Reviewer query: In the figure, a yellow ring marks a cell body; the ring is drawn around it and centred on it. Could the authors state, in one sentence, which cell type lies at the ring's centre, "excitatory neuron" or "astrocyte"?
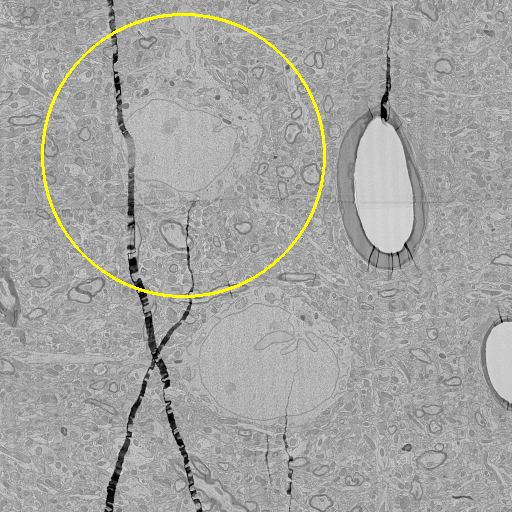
The ring is centred on an excitatory neuron.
